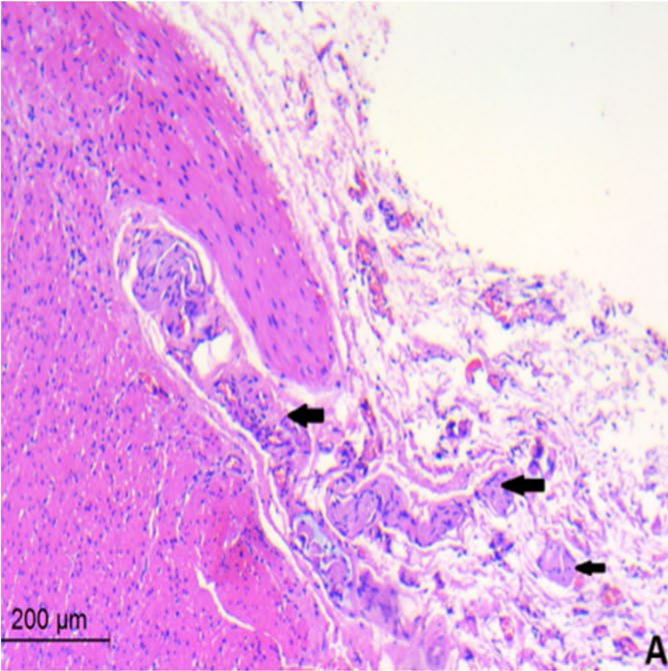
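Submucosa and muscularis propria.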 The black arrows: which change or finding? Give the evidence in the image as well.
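Hypertrophic nerves. The arrows point to rounded and oval bundles of pale purple, wavy fibrillar tissue. These bundles lie in loose pale connective tissue beside the pink smooth muscle. Several such bundles are large and clustered together.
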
